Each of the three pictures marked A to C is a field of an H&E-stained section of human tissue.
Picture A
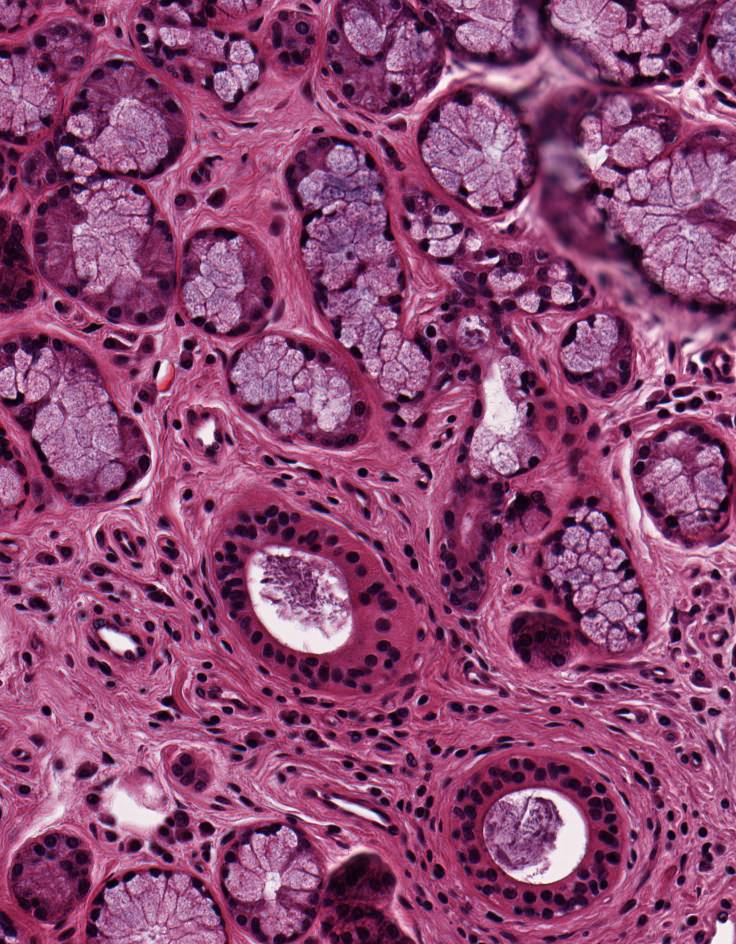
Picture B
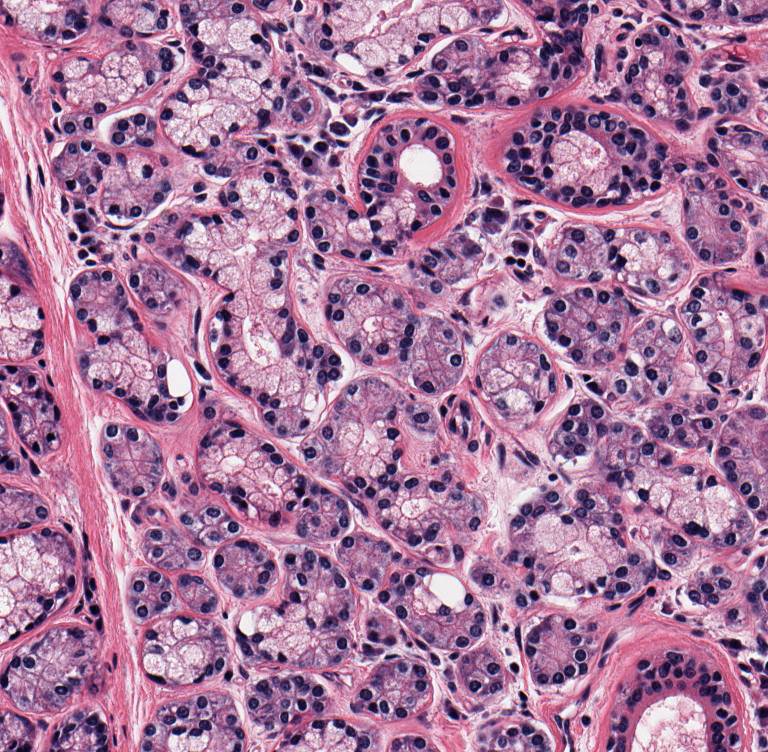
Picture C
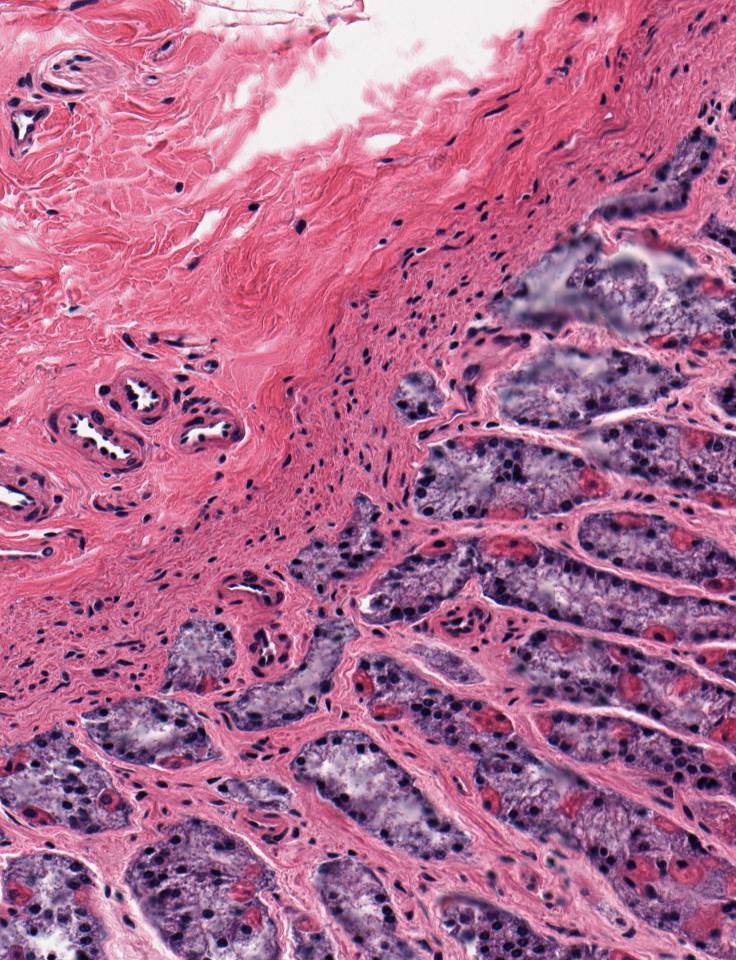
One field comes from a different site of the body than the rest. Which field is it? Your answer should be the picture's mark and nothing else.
C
